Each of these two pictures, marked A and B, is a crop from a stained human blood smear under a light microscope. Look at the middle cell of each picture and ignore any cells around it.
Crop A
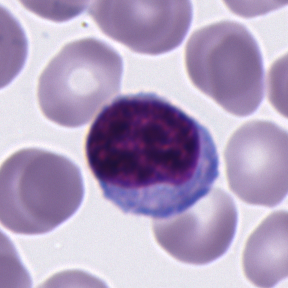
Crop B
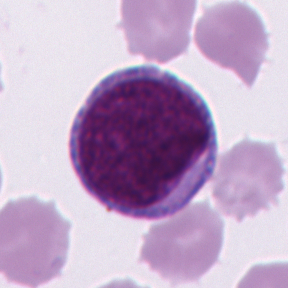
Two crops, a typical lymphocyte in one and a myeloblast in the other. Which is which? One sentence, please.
Crop A corresponds to a typical lymphocyte, and crop B corresponds to a myeloblast.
